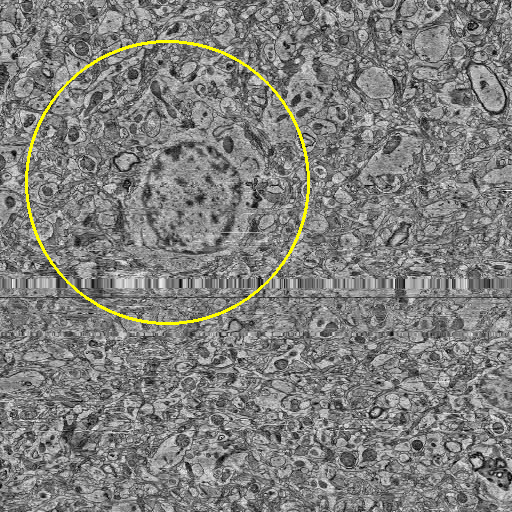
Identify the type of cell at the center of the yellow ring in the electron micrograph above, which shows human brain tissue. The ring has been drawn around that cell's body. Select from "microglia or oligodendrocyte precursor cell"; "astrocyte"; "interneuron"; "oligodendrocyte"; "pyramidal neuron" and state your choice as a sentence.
The yellow ring is centered on the body of an astrocyte.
